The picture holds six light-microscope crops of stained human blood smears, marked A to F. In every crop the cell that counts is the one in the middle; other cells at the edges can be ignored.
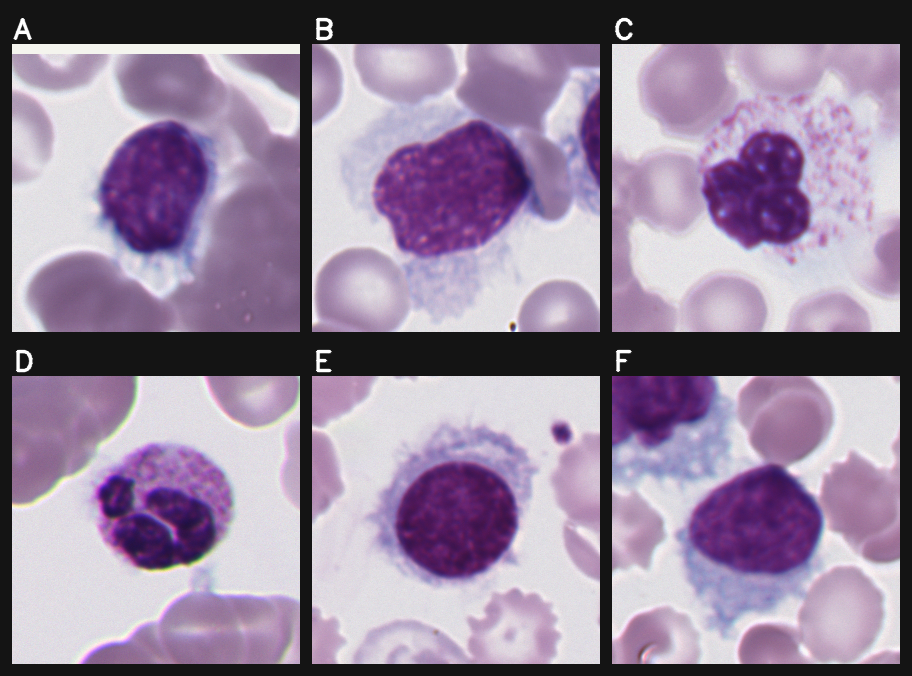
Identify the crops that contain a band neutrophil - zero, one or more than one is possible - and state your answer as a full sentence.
No crop of the set centres on a band neutrophil.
